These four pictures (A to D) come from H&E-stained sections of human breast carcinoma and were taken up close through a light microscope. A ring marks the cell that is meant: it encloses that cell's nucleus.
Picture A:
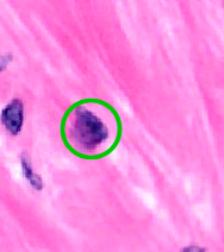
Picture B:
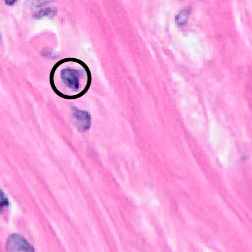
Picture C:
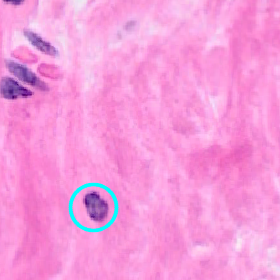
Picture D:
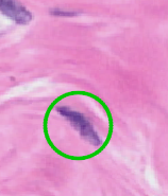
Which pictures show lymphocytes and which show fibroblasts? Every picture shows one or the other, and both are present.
A: lymphocyte
B: lymphocyte
C: lymphocyte
D: fibroblast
